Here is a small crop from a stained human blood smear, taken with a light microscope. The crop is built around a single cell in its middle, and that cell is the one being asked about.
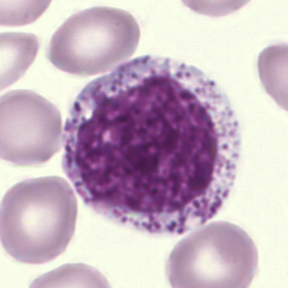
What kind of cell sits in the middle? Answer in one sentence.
For this crop, the cell in the middle is a myelocyte.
